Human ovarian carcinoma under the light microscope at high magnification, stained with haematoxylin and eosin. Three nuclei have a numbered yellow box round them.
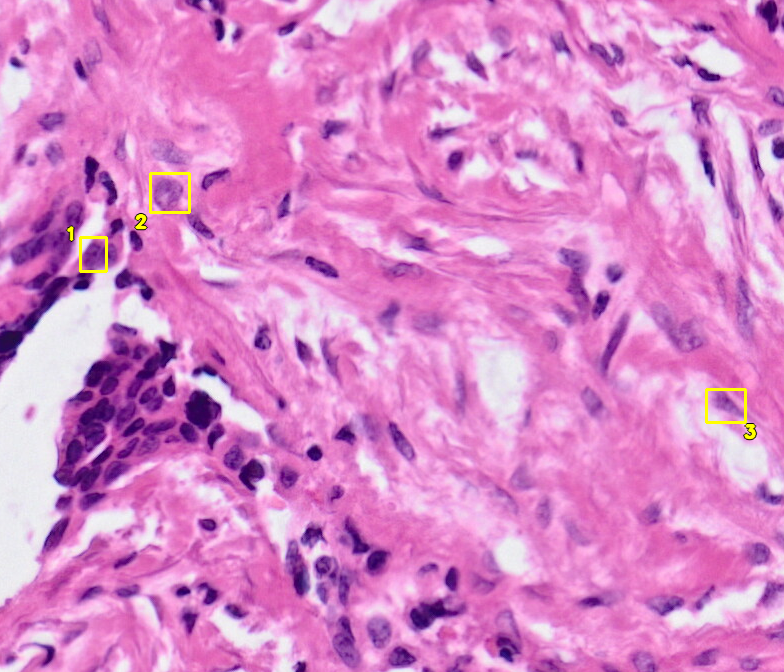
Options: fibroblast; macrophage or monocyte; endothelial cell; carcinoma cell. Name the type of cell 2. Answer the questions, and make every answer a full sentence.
The expected answer is that cell 2 is a fibroblast.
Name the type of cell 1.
The cell given label 1 is a carcinoma cell.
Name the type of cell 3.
The cell marked with the number 3 is a fibroblast.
